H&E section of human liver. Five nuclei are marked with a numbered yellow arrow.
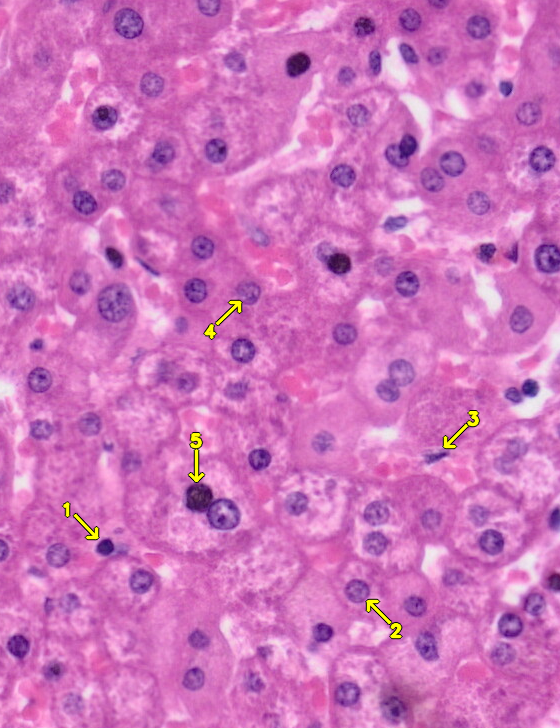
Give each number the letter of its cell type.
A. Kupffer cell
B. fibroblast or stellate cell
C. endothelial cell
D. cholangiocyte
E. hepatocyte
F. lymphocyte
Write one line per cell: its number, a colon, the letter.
1: F
2: E
3: C
4: E
5: E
